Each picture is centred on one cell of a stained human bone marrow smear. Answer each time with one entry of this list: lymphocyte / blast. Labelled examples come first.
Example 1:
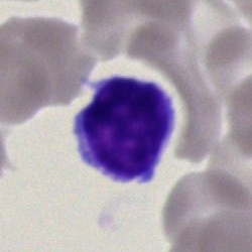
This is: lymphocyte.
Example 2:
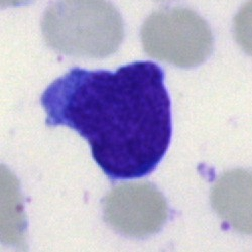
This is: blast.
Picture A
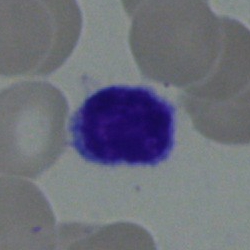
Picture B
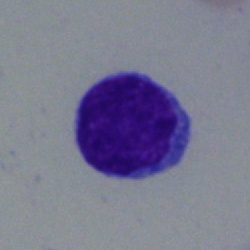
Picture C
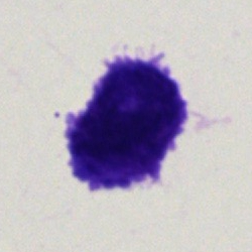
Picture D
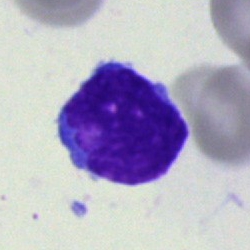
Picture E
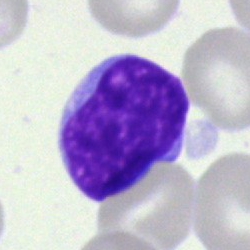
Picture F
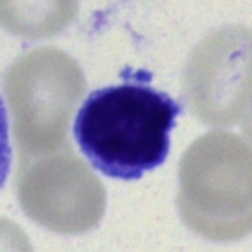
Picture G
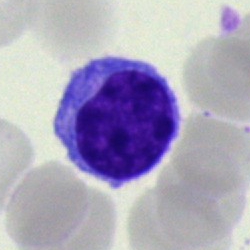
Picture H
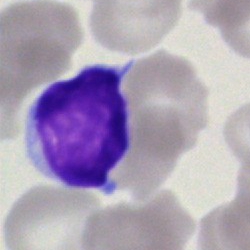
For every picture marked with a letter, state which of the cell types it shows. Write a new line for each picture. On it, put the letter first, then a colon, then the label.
A: lymphocyte.
B: lymphocyte.
C: blast.
D: blast.
E: blast.
F: lymphocyte.
G: lymphocyte.
H: lymphocyte.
